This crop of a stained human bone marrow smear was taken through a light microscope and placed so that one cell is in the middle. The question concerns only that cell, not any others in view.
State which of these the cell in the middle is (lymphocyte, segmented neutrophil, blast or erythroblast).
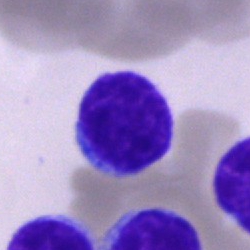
lymphocyte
